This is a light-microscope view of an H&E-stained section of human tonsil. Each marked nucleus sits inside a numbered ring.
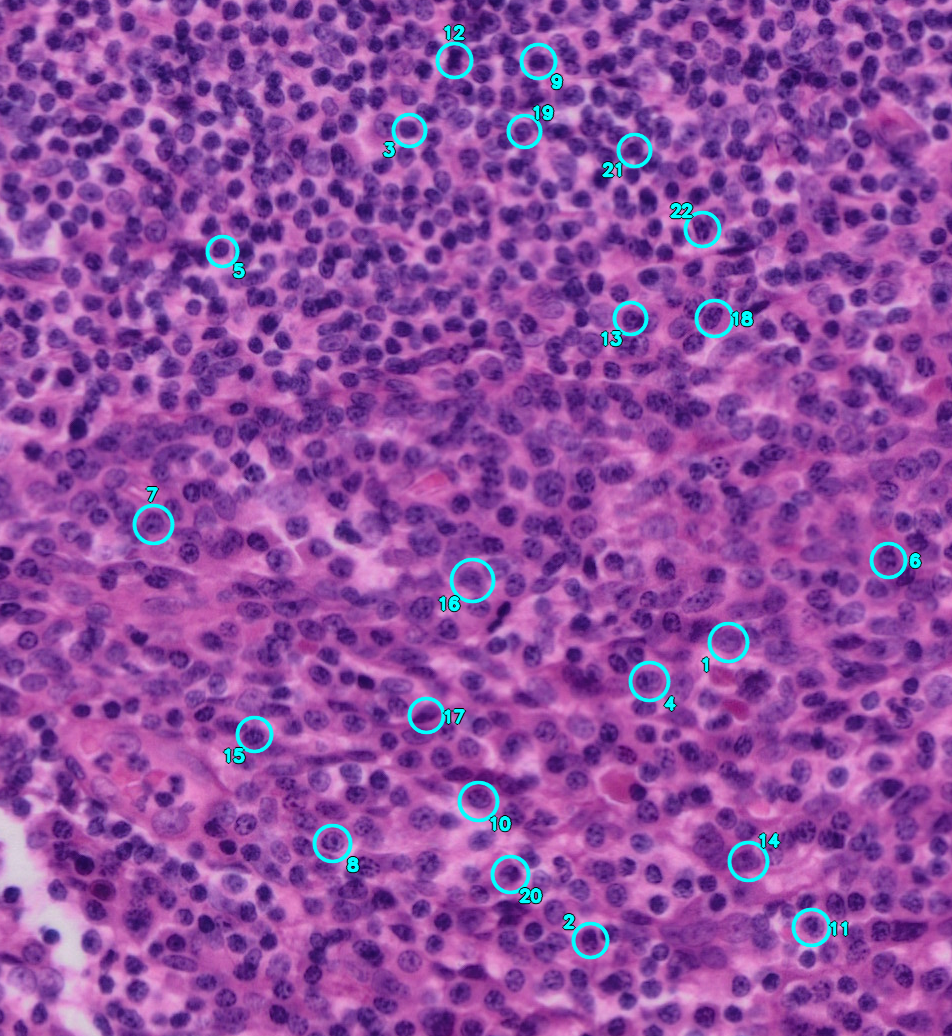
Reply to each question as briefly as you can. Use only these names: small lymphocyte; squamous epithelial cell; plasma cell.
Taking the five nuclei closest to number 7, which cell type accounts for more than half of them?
squamous epithelial cell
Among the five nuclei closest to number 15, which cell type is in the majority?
squamous epithelial cell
